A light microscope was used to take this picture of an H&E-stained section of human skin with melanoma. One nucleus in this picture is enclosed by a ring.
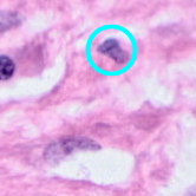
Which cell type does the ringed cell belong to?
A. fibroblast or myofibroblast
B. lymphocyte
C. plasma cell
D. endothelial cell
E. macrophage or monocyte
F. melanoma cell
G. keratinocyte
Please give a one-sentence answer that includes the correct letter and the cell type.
In agreement with option E, the ringed cell is a macrophage or monocyte.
